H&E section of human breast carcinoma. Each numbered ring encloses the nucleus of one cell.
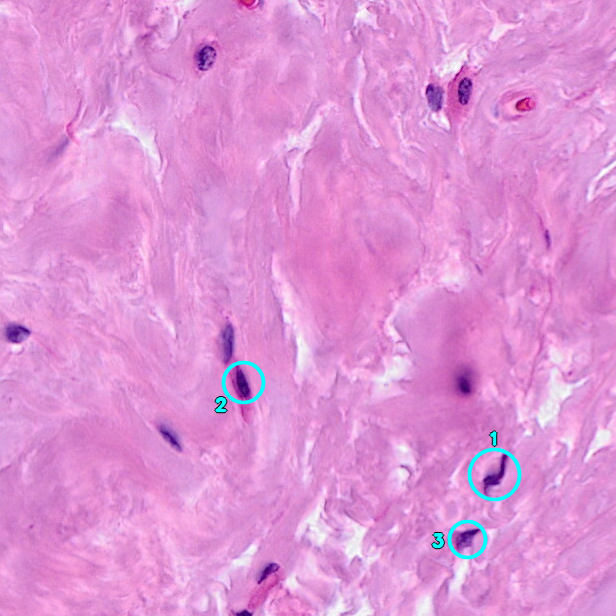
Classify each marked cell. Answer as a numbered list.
1. fibroblast
2. mast cell
3. fibroblast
